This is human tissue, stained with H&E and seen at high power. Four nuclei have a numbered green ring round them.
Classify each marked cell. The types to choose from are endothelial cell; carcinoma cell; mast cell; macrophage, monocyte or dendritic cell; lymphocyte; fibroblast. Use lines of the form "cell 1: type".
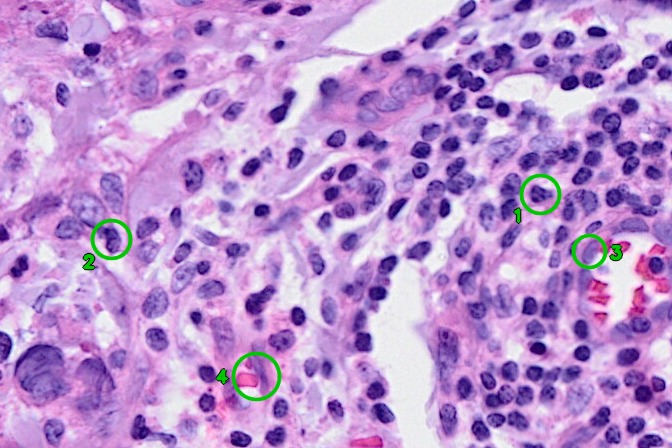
cell 1: lymphocyte
cell 2: lymphocyte
cell 3: endothelial cell
cell 4: endothelial cell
